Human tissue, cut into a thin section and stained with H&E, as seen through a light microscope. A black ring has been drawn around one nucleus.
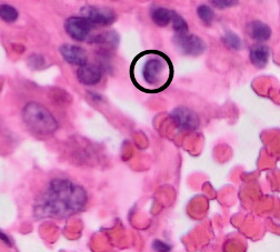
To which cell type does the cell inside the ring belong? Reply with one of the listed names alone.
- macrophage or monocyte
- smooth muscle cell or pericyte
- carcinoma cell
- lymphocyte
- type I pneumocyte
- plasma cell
type I pneumocyte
